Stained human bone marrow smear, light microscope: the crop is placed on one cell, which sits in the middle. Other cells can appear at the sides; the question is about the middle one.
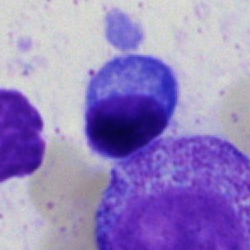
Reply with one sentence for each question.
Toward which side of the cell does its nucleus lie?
The nucleus lies toward the bottom of the cell.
